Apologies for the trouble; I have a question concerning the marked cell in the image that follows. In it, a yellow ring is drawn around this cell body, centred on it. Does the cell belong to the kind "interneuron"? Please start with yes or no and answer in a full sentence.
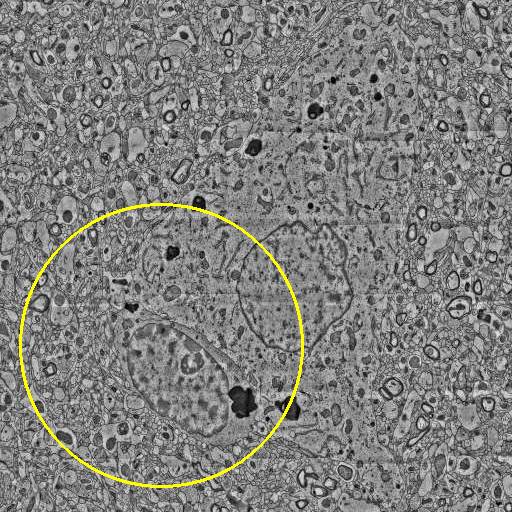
No, the ringed cell in the picture is of a different kind.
